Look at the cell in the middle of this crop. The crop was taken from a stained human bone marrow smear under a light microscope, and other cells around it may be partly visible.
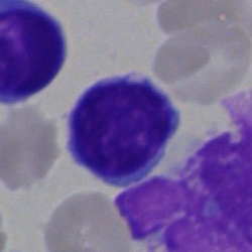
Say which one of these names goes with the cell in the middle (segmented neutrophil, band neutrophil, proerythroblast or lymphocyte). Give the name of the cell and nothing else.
lymphocyte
